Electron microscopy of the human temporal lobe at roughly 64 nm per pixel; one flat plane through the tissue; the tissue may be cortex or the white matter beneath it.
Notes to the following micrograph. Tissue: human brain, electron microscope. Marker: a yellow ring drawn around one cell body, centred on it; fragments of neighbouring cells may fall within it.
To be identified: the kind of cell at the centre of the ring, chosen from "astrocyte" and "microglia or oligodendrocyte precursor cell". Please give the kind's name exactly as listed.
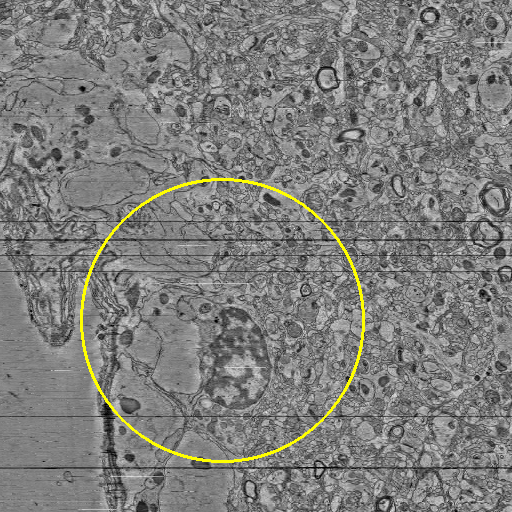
microglia or oligodendrocyte precursor cell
